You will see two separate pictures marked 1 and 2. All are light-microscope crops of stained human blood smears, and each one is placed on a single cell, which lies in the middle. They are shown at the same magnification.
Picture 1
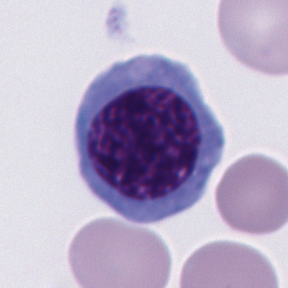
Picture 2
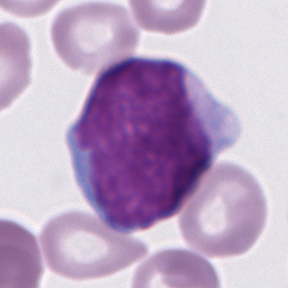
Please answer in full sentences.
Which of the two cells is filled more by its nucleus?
In picture 2 the nucleus takes up the larger part of its cell.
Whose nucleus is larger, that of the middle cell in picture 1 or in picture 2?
The nucleus in picture 2 is larger, with about 1.5 times the area of the one in picture 1.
